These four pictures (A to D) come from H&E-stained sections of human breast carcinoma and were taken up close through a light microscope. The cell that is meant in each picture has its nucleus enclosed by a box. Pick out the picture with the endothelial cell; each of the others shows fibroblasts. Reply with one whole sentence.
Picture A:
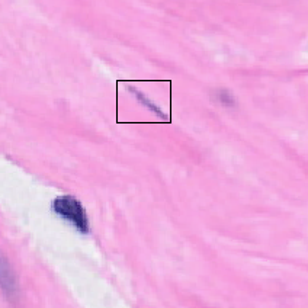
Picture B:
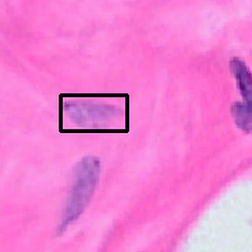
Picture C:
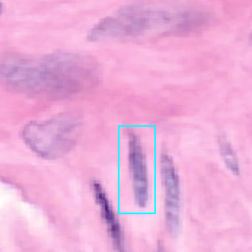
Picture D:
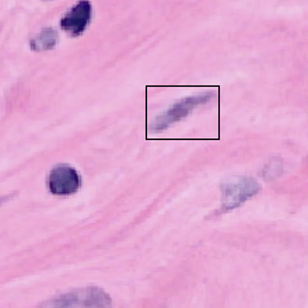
It is picture C that shows the endothelial cell.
